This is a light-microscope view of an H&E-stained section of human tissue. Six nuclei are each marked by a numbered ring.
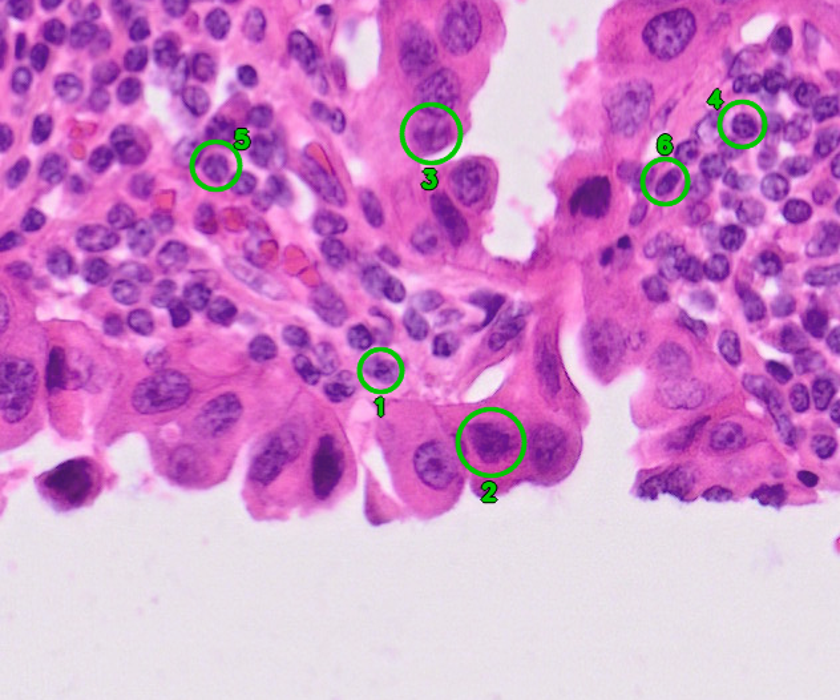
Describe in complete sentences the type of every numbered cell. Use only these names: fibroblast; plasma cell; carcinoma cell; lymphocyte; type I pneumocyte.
Cells 1, 4, 5 and 6 are lymphocytes. Cells 2 and 3 are carcinoma cells.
